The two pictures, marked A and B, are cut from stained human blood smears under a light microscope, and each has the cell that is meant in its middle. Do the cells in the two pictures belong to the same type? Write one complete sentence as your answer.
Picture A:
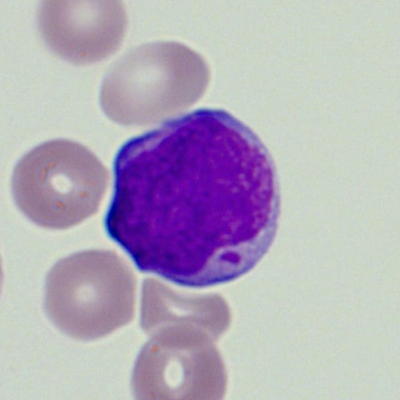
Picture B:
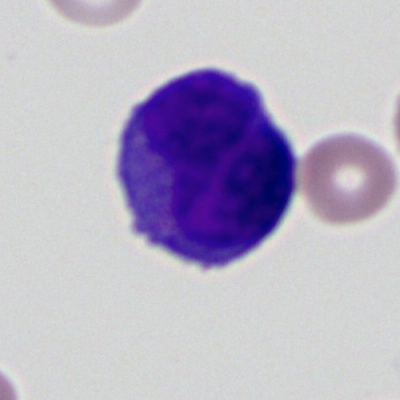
Yes, both are myeloblasts.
